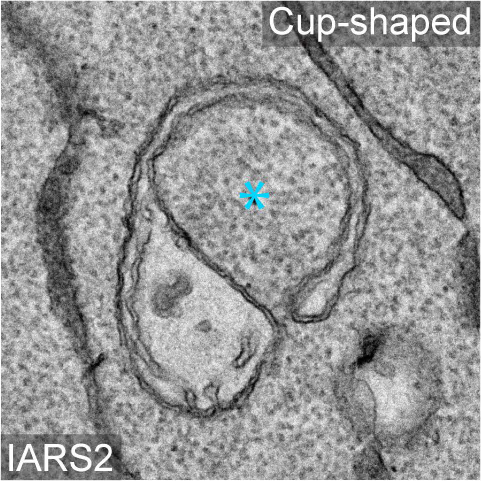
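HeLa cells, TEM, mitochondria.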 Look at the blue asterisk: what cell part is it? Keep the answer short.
Cytosol.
